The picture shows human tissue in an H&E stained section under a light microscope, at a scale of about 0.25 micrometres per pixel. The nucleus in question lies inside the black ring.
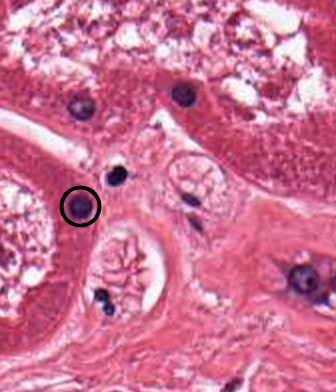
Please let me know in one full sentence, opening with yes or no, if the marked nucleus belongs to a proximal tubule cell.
Yes, the marked nucleus is identified as that of a proximal tubule cell.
